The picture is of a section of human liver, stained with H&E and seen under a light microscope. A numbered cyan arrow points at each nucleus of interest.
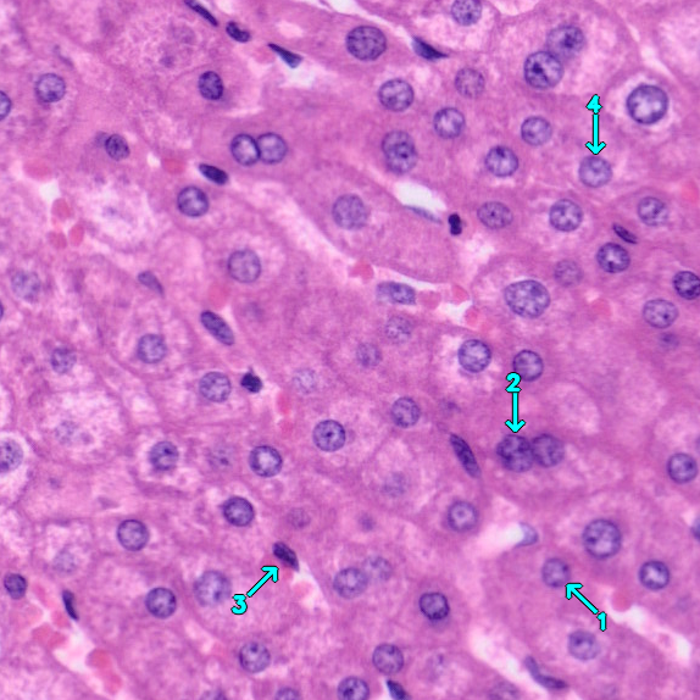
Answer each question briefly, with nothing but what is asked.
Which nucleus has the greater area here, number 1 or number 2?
2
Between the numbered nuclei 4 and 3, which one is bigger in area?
4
